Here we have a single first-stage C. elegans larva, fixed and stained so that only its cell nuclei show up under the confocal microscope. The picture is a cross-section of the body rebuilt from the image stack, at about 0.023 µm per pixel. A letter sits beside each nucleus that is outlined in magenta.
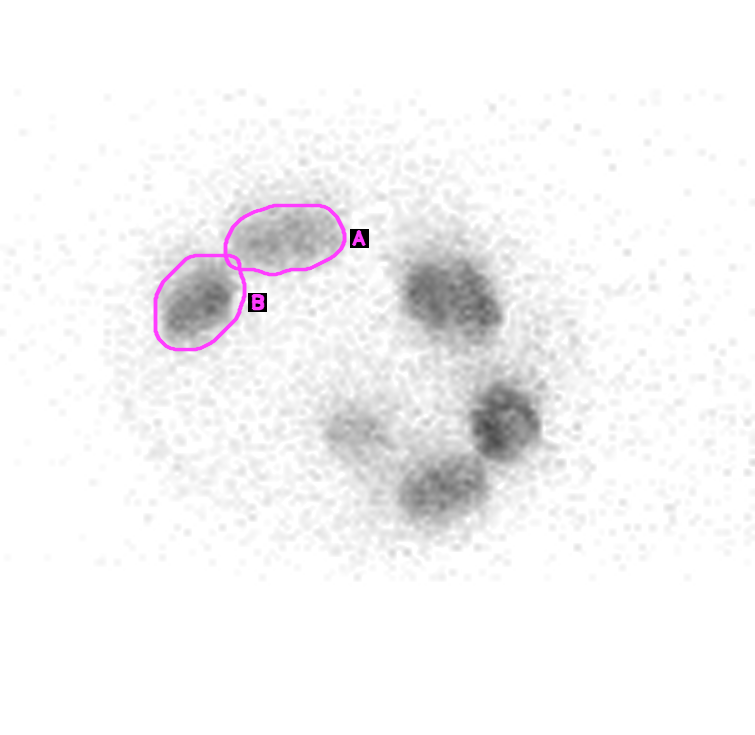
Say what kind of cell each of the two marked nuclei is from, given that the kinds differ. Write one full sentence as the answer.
A is the nucleus of a hypodermal cell (hyp); B is the nucleus of a body wall muscle cell.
